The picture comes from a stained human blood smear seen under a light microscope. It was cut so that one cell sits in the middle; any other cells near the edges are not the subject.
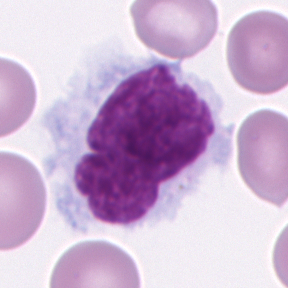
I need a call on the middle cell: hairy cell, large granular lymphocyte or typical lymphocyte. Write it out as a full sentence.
Answering briefly, the cell in the middle is a hairy cell.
